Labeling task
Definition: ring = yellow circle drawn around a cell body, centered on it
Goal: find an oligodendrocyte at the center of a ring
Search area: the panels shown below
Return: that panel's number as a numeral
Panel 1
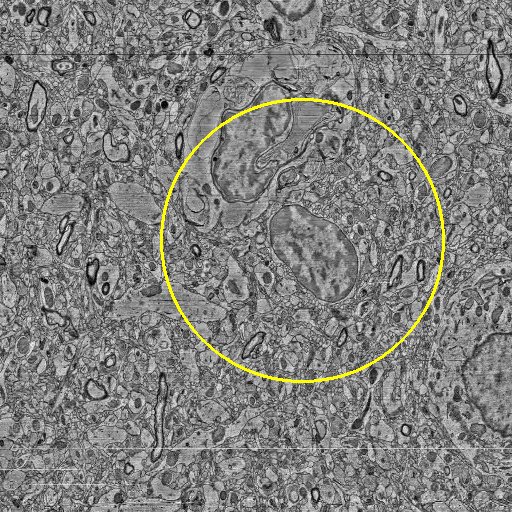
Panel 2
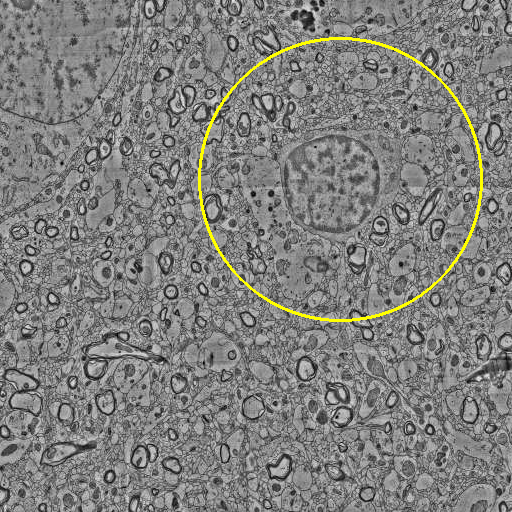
2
